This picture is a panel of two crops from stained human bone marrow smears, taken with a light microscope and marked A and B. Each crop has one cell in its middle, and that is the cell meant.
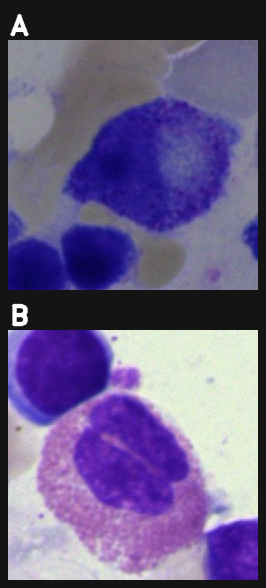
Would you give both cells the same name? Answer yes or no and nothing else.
no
